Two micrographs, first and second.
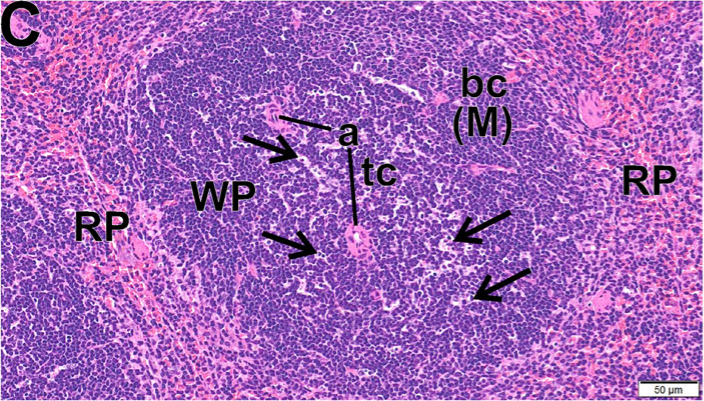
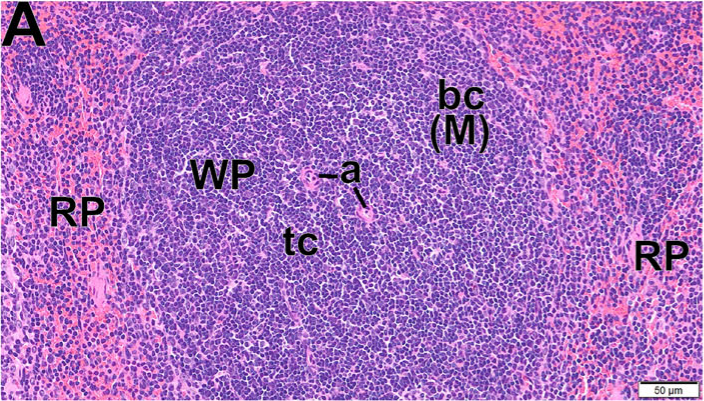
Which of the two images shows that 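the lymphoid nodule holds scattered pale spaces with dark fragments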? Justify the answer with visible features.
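First image: several small cleared spaces with dark debris lie among the lymphocytes around the arteriole. Second image: the lymphocytes around the arteriole are evenly packed without such cleared spaces. On this evidence: the first image.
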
